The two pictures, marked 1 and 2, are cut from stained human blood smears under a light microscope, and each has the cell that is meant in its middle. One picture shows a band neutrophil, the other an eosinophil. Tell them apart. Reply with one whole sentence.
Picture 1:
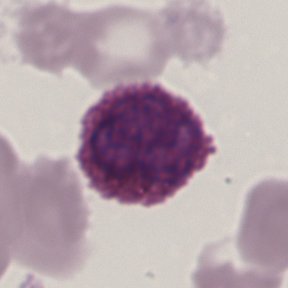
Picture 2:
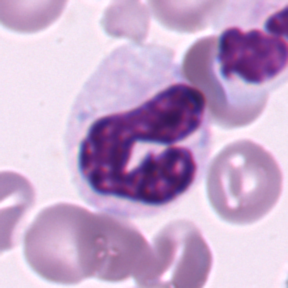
It is picture 1 that shows an eosinophil, and picture 2 that shows a band neutrophil.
